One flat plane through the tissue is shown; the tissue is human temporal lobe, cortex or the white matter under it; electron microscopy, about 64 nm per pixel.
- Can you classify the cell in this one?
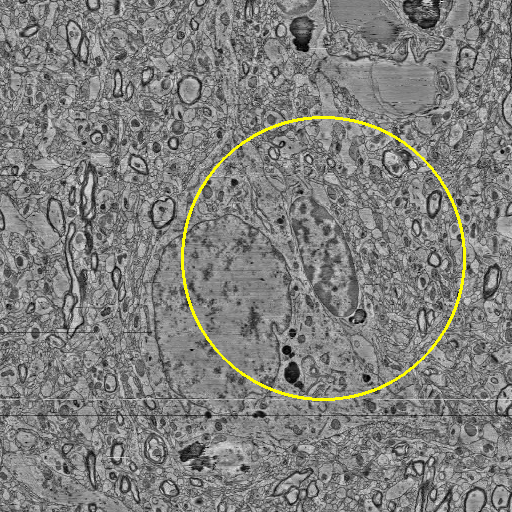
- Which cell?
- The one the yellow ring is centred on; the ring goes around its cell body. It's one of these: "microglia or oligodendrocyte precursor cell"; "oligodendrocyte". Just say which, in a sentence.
The cell body in the ring belongs to a microglial cell or oligodendrocyte precursor cell.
